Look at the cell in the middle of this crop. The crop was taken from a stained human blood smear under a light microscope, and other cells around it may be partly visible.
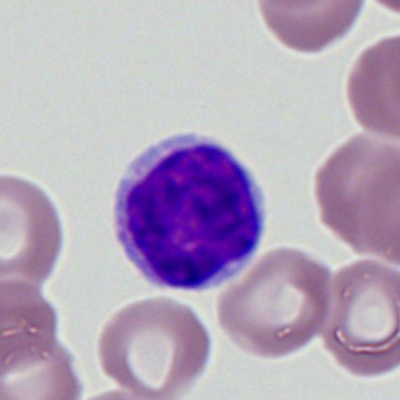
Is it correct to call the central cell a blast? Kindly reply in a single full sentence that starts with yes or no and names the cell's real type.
No, that would be a lymphocyte, not a blast, for the cell at the centre.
